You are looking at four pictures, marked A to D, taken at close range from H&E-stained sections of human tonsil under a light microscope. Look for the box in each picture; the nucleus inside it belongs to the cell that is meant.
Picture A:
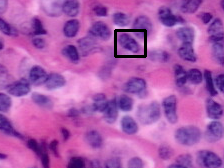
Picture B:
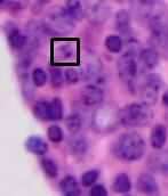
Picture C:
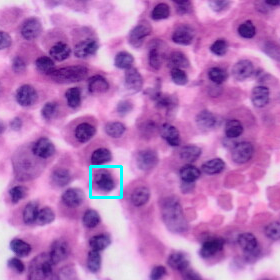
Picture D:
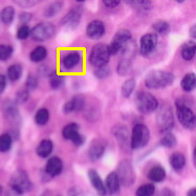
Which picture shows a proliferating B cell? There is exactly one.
B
